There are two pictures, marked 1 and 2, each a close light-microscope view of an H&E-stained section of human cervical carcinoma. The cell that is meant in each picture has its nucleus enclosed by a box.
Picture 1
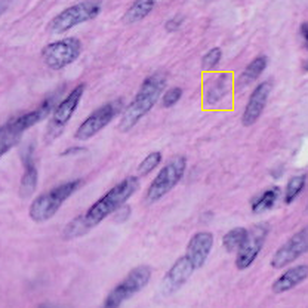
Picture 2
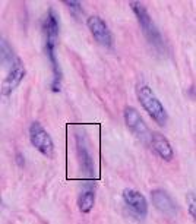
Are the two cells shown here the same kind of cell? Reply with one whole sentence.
Yes; the cells in both pictures are smooth muscle cells.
